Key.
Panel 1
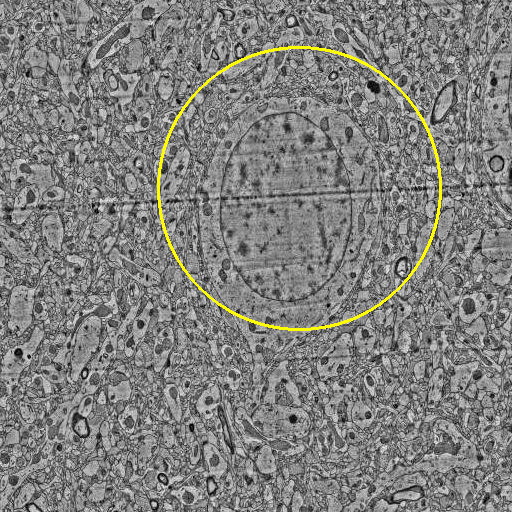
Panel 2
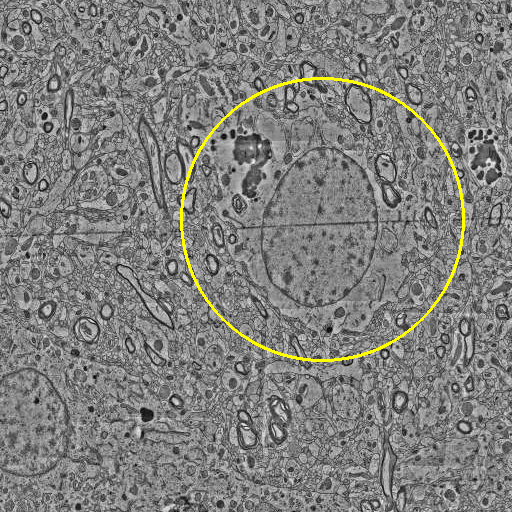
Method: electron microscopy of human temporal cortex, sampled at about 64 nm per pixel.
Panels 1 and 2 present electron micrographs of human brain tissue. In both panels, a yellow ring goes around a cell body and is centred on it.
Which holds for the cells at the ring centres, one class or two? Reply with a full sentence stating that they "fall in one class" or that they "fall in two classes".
Taken together, the ring-centre cells of the two panels fall in two classes.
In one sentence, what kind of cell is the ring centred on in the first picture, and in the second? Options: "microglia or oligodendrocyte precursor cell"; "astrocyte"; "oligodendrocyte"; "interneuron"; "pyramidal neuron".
The cell at the centre of the second ring is an astrocyte; the first ring's cell is a pyramidal neuron.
